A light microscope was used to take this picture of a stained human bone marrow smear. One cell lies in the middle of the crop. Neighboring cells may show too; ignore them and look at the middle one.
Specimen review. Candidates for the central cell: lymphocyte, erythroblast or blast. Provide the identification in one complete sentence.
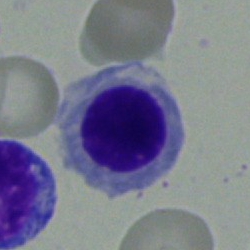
The cell of interest, in the center, is an erythroblast.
